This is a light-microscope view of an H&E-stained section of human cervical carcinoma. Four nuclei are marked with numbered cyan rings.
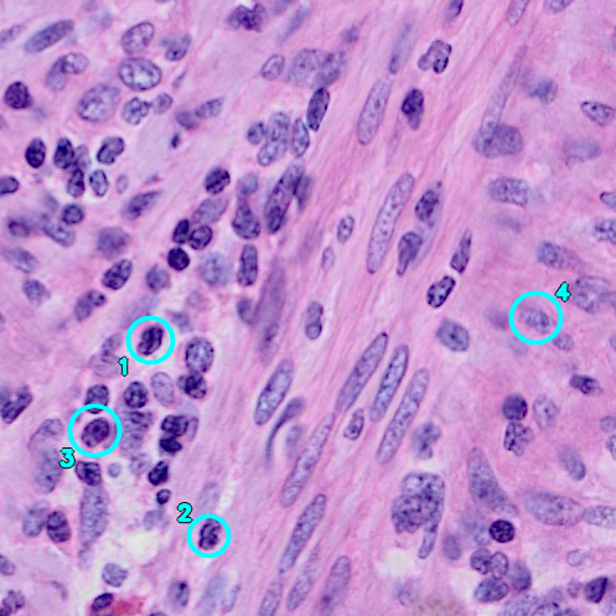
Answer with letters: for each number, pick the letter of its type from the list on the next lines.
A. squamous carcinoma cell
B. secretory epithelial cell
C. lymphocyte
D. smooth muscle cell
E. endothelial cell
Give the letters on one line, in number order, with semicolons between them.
C; C; C; D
